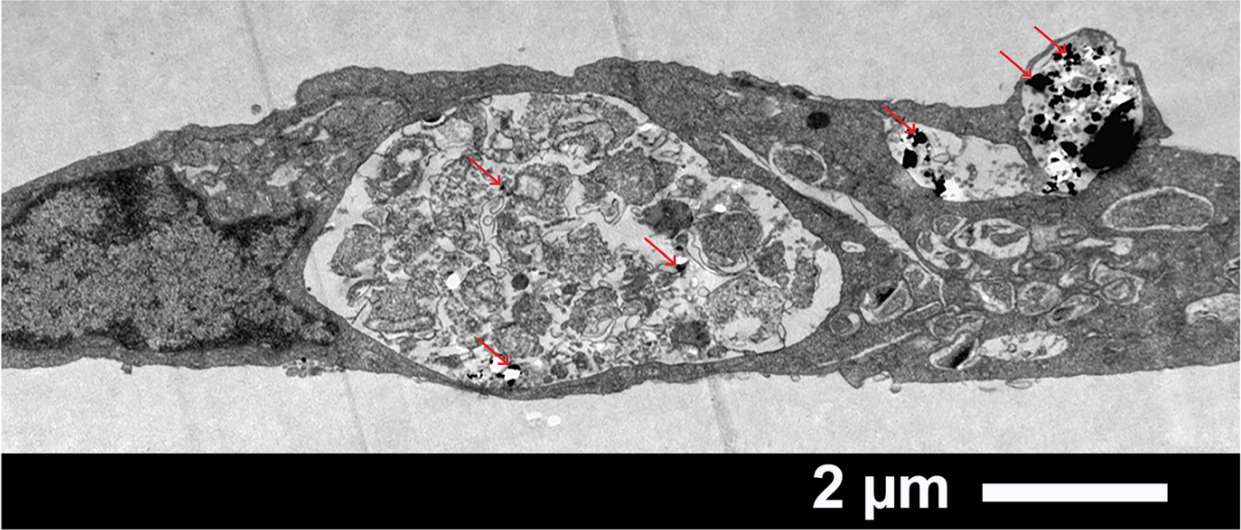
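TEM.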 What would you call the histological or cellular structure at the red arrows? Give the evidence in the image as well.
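The arrows point to very dense, black angular particles. The particles lie inside membrane-bound vesicles of the cytoplasm. They are far darker than any surrounding cell structure. The answer: nanoparticles.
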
